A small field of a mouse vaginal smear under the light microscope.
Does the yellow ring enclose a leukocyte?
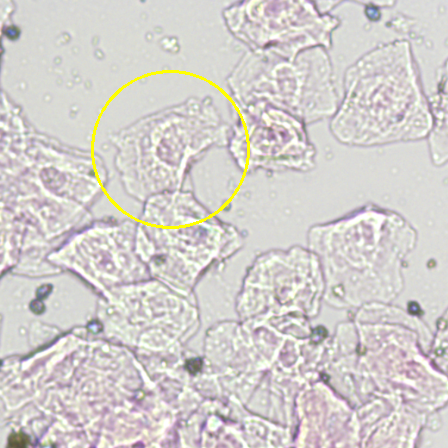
No. The ring encloses a cornified epithelial cell.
